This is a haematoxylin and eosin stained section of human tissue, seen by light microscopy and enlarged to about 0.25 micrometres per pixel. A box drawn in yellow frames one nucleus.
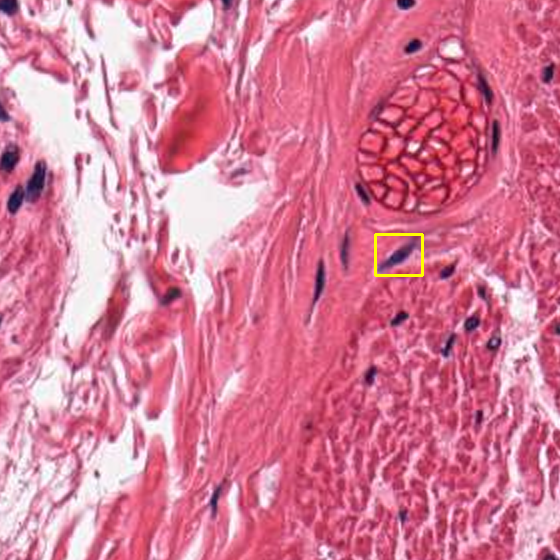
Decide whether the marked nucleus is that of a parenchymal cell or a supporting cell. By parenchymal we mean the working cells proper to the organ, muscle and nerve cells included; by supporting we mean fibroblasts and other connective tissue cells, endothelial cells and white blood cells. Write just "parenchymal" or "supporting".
supporting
